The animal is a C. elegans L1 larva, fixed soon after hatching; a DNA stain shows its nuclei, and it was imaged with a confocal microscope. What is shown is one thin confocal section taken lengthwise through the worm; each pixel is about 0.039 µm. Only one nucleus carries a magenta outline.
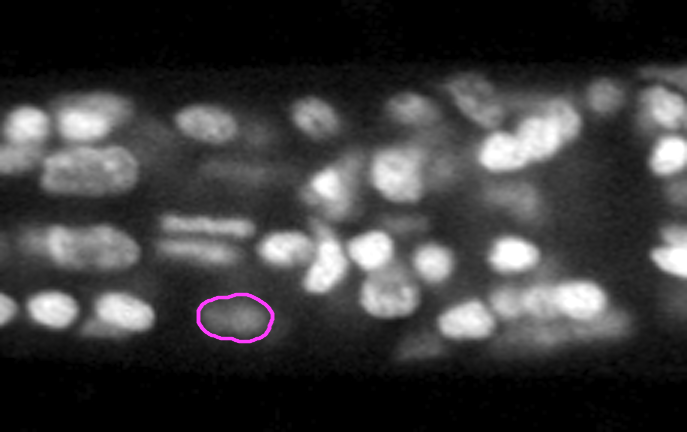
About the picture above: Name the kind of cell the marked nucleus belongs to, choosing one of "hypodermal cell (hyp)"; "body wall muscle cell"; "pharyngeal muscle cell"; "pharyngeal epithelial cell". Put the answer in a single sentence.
The cell with the marked nucleus is a body wall muscle cell.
